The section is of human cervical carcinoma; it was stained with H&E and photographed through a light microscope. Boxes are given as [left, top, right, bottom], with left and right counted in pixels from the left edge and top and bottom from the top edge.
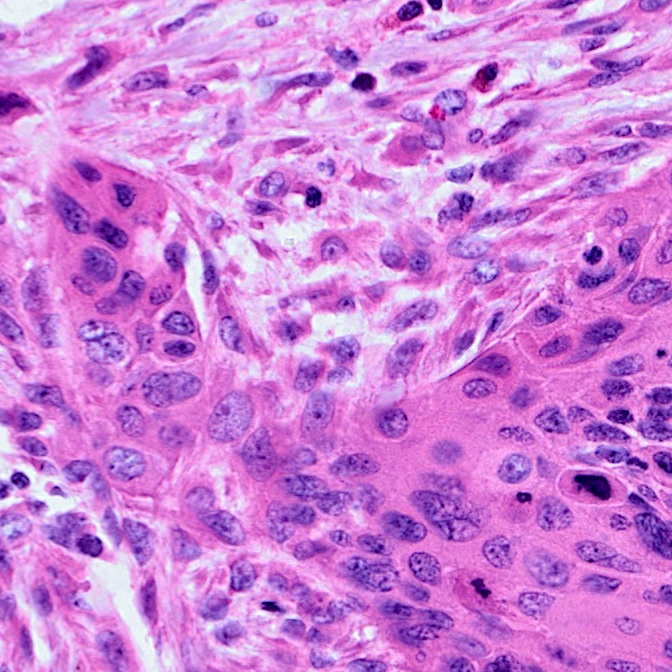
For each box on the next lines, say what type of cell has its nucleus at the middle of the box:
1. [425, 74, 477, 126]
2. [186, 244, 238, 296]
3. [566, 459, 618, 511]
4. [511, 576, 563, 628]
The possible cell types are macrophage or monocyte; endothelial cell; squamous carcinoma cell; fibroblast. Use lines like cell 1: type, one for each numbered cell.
cell 1: endothelial cell
cell 2: fibroblast
cell 3: squamous carcinoma cell
cell 4: squamous carcinoma cell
